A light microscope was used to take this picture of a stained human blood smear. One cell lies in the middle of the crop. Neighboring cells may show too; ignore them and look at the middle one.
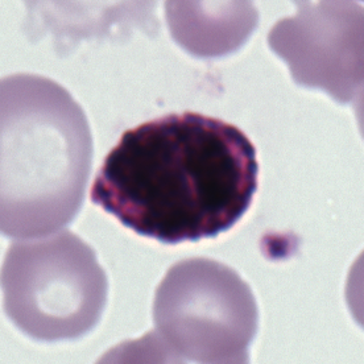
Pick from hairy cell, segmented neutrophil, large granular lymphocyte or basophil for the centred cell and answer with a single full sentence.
The crop shows a basophil in its centre.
